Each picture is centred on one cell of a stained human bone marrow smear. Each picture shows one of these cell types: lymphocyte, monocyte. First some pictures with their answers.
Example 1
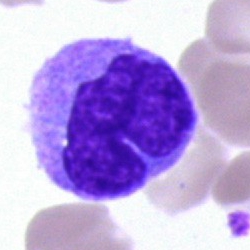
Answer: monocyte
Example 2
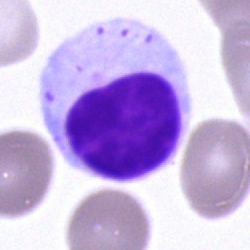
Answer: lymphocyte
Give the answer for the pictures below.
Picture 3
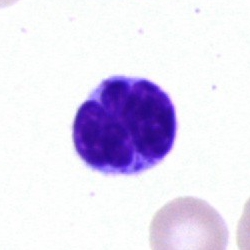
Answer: lymphocyte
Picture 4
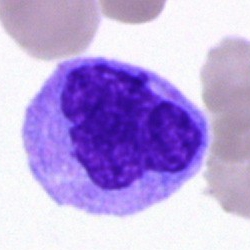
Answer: monocyte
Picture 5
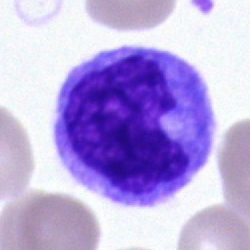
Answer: monocyte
